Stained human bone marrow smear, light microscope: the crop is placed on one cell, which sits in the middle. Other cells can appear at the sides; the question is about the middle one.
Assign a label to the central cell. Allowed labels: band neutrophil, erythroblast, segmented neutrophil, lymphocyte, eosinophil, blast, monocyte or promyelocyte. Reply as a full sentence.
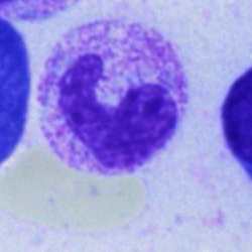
The cell at the central position in this crop is a band neutrophil.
